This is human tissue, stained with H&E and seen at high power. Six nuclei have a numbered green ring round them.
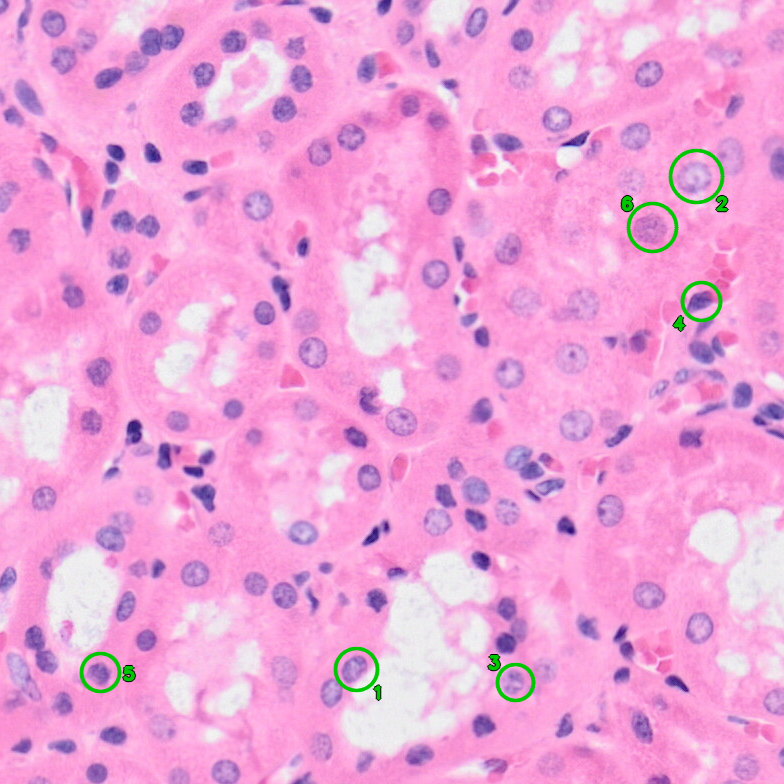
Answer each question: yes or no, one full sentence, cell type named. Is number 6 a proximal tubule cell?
Yes, that is right: the cell labelled 6 is a proximal tubule cell.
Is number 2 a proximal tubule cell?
Yes, with respect to number 2, the cell is a proximal tubule cell.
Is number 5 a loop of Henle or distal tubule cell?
Yes, number 5 is assigned to a cell that is a loop of Henle or distal tubule cell.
